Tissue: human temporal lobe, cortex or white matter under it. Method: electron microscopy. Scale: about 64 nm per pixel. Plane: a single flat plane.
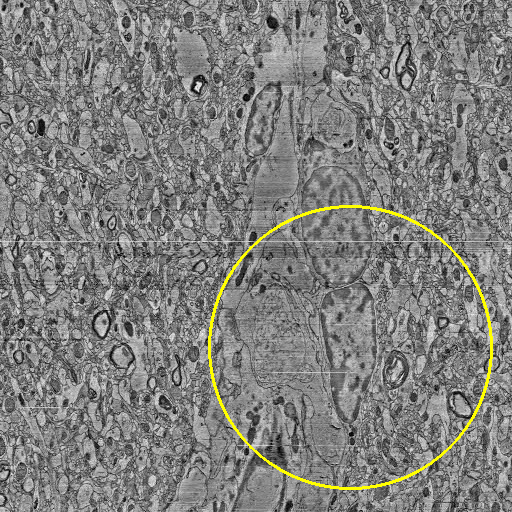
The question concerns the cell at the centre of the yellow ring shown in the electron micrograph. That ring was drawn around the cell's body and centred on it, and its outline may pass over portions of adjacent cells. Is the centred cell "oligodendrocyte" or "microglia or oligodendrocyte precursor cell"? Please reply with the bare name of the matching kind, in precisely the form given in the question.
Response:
microglia or oligodendrocyte precursor cell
